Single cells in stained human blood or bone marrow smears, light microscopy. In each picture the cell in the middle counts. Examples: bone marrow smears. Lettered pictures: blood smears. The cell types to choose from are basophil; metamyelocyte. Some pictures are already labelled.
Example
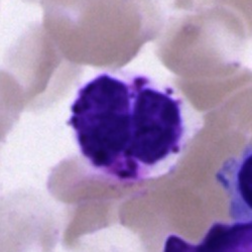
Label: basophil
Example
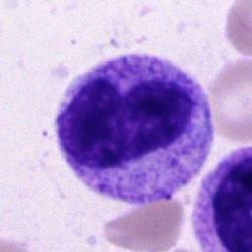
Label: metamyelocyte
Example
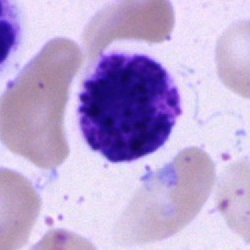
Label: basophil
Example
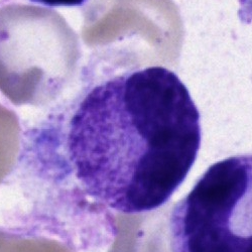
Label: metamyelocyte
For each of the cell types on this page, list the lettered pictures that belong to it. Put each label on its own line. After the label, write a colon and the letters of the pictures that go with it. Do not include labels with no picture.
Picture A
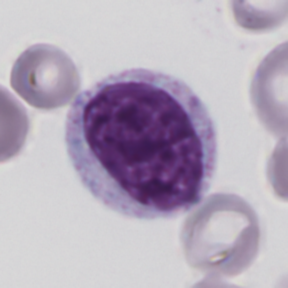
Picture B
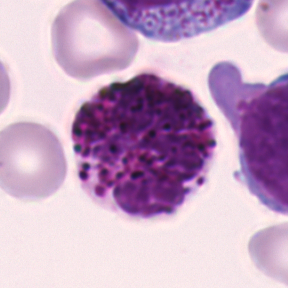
basophil: B
metamyelocyte: A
